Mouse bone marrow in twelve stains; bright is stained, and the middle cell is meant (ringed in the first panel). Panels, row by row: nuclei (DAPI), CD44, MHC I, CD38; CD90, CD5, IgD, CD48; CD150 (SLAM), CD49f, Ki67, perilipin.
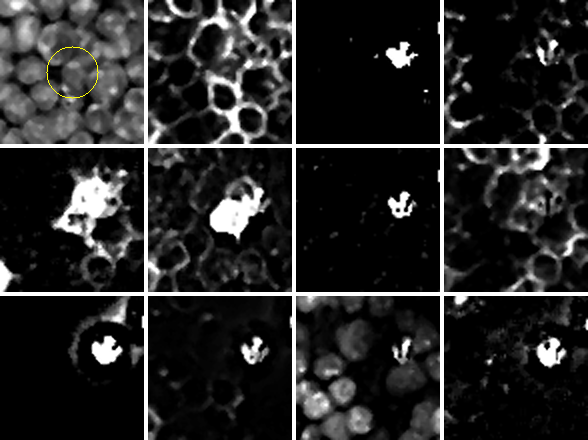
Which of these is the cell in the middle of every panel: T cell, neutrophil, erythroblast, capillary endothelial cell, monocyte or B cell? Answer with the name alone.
T cell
